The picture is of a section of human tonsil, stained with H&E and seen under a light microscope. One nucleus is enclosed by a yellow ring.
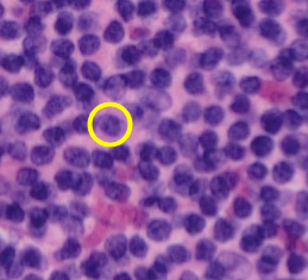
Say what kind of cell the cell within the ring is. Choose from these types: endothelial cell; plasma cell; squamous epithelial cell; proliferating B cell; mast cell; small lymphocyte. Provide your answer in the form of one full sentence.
Just put down that the cell within the ring is a small lymphocyte.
